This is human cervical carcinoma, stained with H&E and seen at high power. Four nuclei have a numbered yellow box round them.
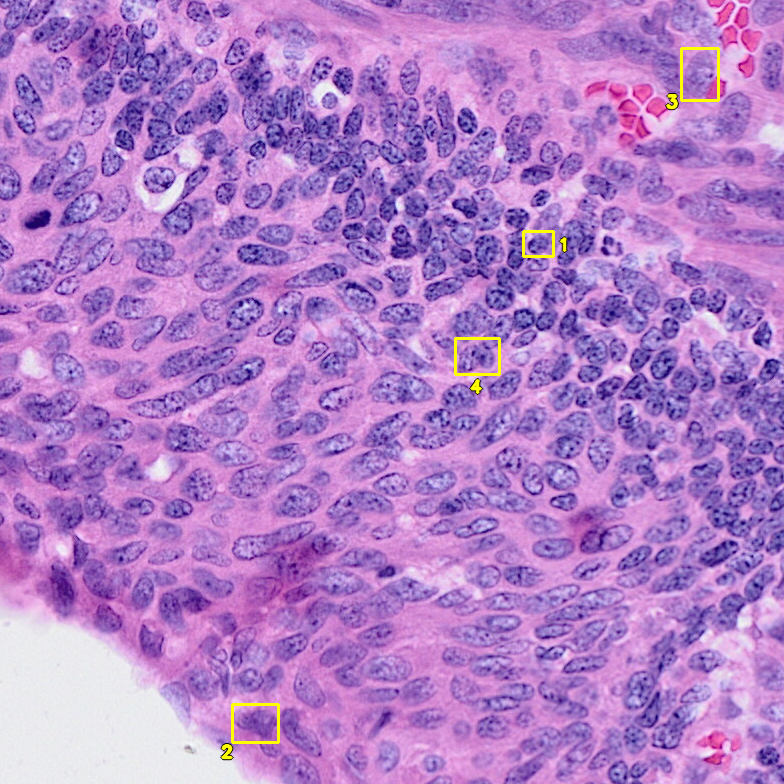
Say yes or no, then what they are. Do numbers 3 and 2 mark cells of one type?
No, cell 3 is interpreted as an endothelial cell, and cell 2 is interpreted as a squamous carcinoma cell.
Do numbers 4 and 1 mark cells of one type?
Yes, the pair formed by cells 4 and 1 consists of two squamous carcinoma cells.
